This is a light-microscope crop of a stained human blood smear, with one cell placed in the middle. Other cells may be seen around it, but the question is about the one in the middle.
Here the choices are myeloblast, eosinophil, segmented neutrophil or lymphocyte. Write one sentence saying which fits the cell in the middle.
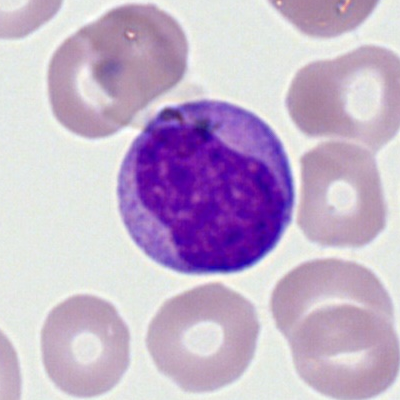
The cell shown in the center of this light-microscope crop is a myeloblast.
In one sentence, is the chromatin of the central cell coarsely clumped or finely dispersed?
If you check the nucleus, you will find the chromatin coarsely clumped.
